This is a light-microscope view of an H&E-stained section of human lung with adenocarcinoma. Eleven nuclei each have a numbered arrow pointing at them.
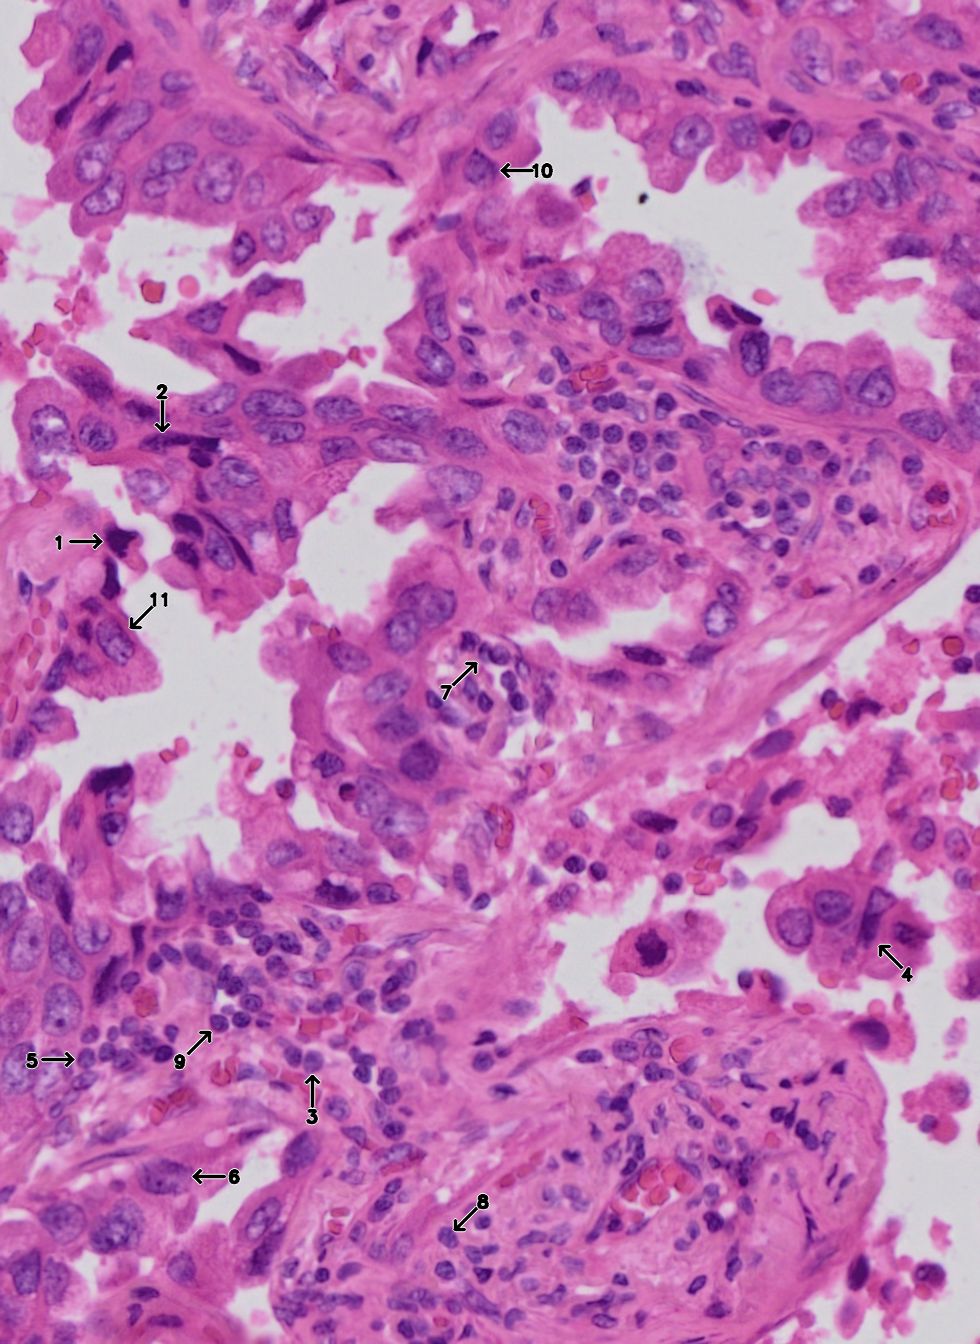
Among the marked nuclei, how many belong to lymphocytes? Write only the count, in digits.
5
